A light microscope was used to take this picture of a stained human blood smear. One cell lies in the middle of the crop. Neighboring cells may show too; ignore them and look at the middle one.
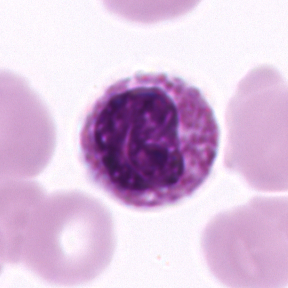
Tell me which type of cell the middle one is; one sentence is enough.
In the center of this field lies an eosinophil.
